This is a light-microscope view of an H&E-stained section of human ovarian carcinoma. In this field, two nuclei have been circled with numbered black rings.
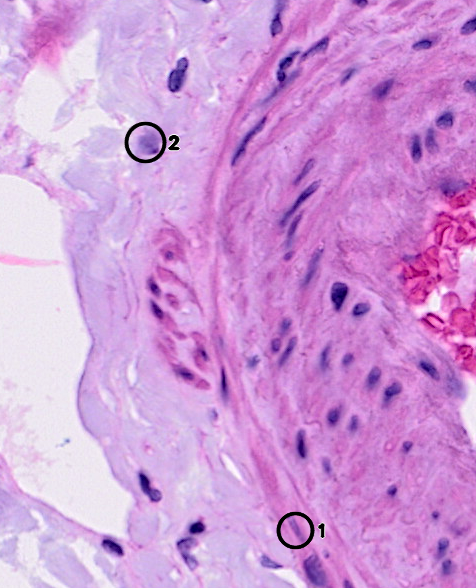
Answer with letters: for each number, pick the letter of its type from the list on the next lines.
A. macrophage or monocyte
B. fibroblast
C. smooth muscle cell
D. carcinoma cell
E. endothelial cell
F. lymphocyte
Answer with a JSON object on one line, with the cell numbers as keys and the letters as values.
{"1": "C", "2": "B"}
